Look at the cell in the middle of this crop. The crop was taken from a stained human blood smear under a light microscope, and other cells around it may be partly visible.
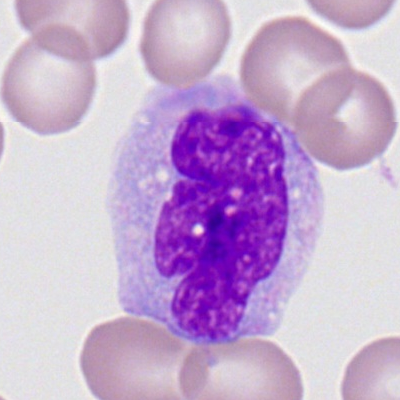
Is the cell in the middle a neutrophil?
no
